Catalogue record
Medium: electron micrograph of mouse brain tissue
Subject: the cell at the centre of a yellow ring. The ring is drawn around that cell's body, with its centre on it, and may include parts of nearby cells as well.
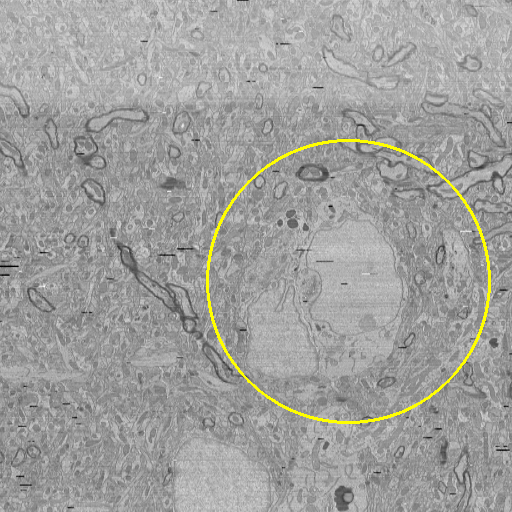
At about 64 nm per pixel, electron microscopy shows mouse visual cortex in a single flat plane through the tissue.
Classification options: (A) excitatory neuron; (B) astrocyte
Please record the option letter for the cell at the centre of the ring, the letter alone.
A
